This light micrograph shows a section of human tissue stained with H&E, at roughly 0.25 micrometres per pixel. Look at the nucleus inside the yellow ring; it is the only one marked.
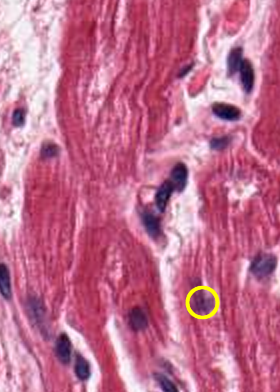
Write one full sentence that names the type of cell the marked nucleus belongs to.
A nucleus belonging to a cardiomyocyte is the one marked.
